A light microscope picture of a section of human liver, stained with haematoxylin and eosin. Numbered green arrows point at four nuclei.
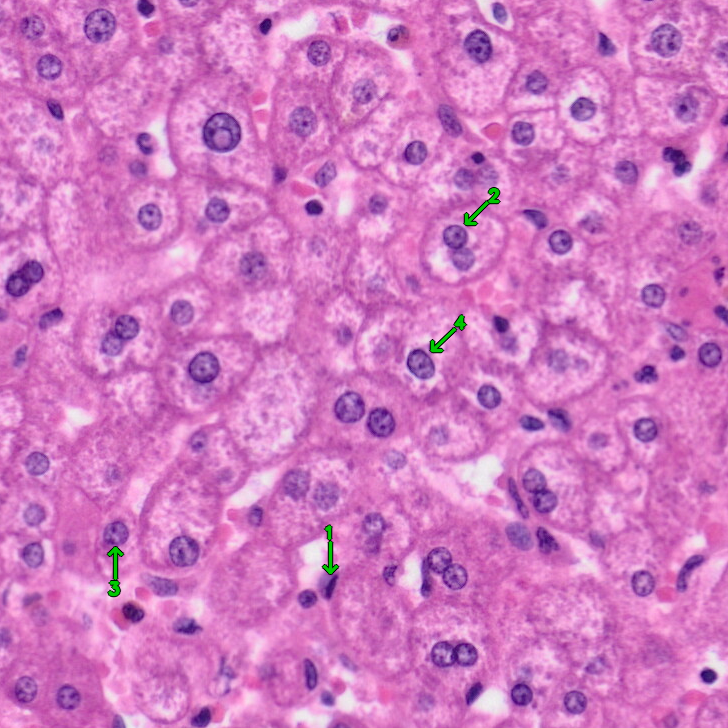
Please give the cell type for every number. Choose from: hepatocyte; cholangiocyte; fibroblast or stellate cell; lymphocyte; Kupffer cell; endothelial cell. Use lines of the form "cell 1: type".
cell 1: endothelial cell
cell 2: hepatocyte
cell 3: hepatocyte
cell 4: hepatocyte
